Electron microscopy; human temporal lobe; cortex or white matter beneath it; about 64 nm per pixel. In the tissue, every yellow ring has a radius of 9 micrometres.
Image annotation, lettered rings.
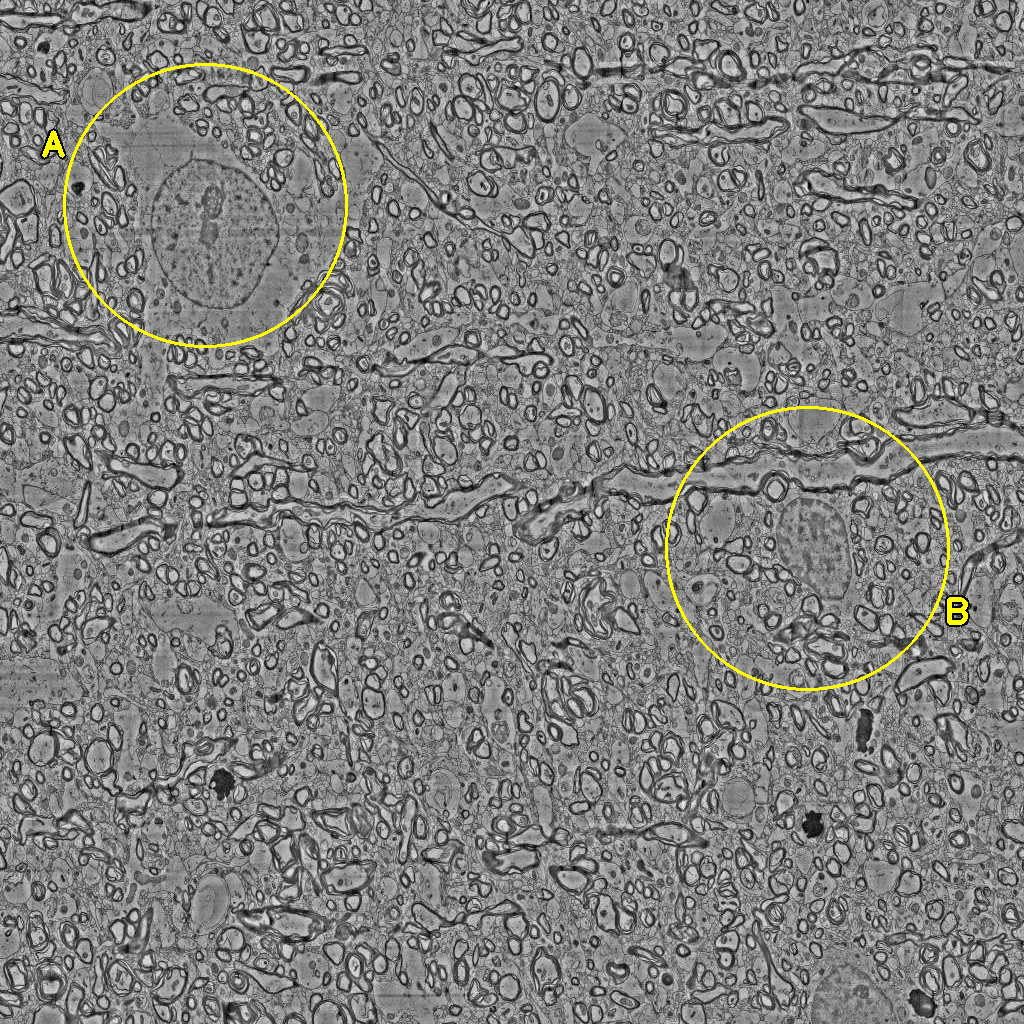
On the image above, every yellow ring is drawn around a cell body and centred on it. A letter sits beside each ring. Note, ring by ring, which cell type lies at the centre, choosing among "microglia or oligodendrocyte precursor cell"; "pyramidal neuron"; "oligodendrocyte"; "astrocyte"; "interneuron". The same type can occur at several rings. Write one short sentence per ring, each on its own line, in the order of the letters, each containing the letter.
Ring A has an astrocyte at its centre.
Ring B has an oligodendrocyte at its centre.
